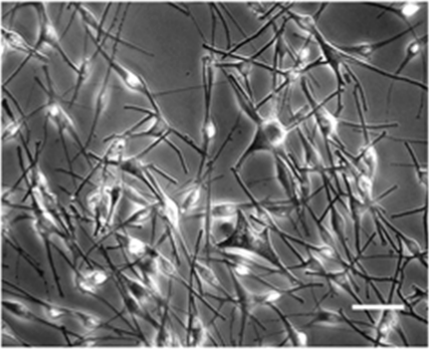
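Cells have small, bright, rounded to spindle-shaped bodies from which two or three long, very thin dendritic processes extend. The processes of neighbouring cells run across one another and form a loose meshwork over the dish. A few flatter cells with broader outlines lie among them.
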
